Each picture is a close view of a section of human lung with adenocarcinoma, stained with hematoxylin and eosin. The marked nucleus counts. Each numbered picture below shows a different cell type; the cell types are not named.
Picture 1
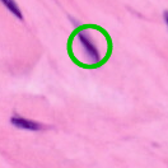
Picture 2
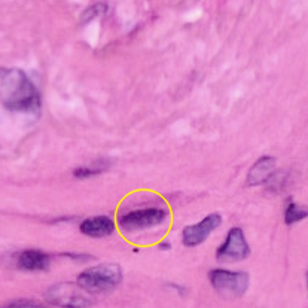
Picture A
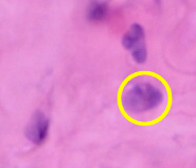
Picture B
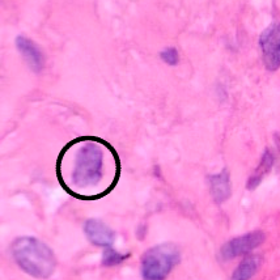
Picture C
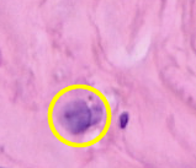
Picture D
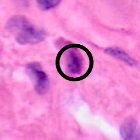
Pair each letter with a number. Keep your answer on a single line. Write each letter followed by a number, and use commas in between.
A 1, B 1, C 1, D 2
